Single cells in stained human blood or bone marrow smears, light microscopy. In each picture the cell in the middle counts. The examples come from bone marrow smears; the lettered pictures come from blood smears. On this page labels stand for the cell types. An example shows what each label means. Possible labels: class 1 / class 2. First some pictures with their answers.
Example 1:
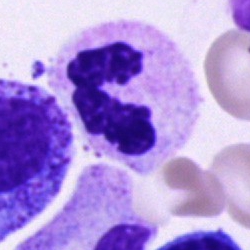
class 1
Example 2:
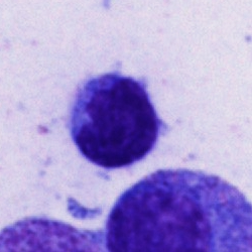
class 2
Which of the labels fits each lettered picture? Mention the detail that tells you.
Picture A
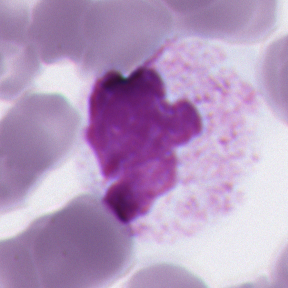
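Answer: class 1. The cytoplasm is pale and nearly colourless.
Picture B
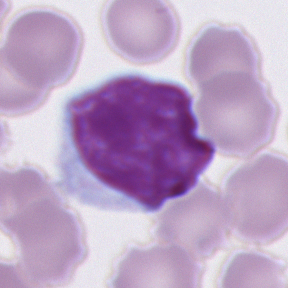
Answer: class 2. The cytoplasm forms a narrow crescent that is widest at the lower left of the cell.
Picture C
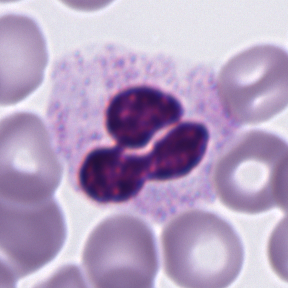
Answer: class 1. The cytoplasm is abundant and pale pink.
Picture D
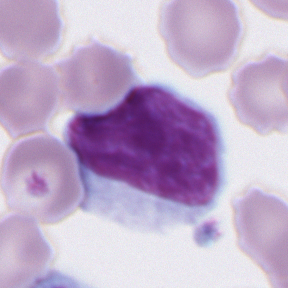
Answer: class 2. The nucleus fills most of the cell, leaving cytoplasm mainly as a band along its lower edge.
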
